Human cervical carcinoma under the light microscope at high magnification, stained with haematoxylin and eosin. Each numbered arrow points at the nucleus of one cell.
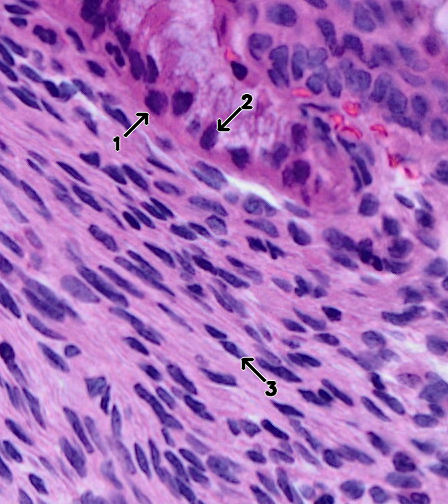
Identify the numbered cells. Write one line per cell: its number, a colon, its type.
1: secretory epithelial cell
2: secretory epithelial cell
3: fibroblast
